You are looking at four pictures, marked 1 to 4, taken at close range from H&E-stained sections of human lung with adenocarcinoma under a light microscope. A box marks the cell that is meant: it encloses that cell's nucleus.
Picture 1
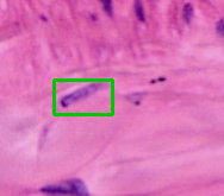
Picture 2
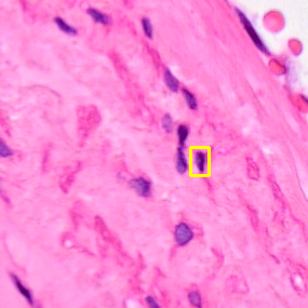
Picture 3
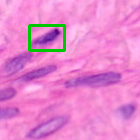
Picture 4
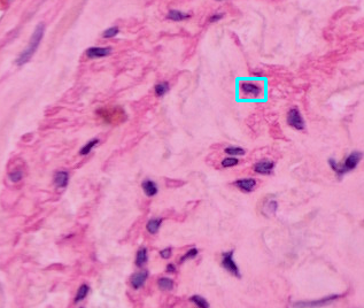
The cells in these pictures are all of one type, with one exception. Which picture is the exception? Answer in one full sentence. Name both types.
The different one is picture 1; it shows a fibroblast, whereas all the others show “smooth muscle cells or pericytes”.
